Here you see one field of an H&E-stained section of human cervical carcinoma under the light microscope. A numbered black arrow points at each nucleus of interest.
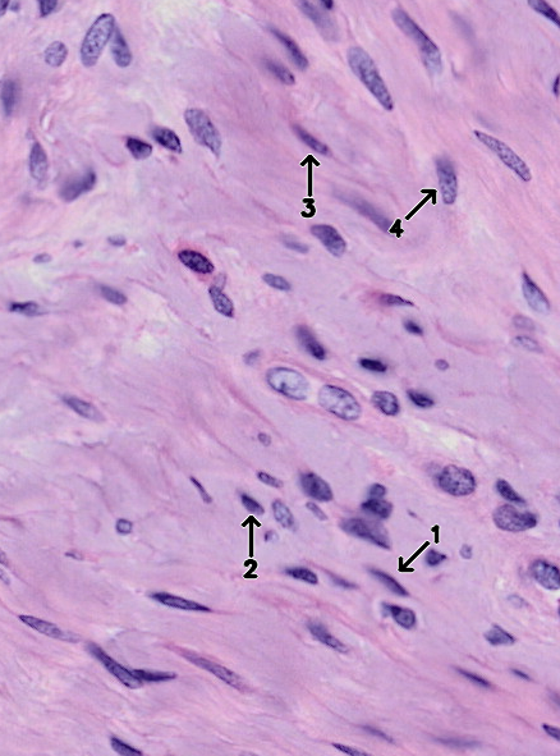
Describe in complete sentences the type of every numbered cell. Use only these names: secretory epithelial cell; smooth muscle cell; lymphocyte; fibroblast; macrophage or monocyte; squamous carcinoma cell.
Cells 1, 2 and 4 are fibroblasts. Cell 3 is a smooth muscle cell.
